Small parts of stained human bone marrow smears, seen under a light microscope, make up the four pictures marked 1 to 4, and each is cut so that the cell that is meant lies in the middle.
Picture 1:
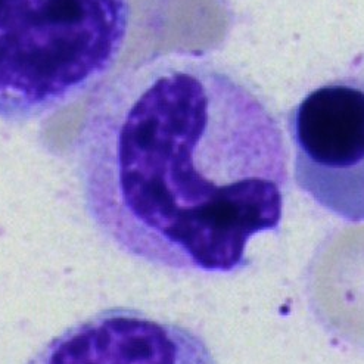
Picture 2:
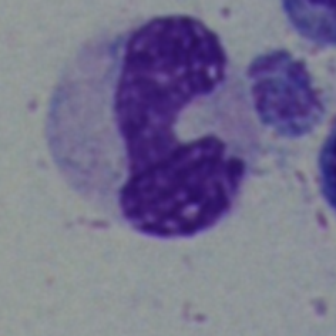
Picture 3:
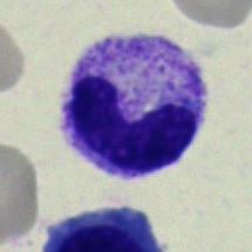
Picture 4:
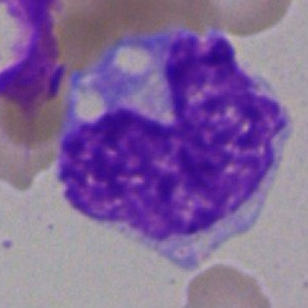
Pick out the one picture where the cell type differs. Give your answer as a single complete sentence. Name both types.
Picture 4 differs, because its cell is a monocyte and the rest are band neutrophils.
